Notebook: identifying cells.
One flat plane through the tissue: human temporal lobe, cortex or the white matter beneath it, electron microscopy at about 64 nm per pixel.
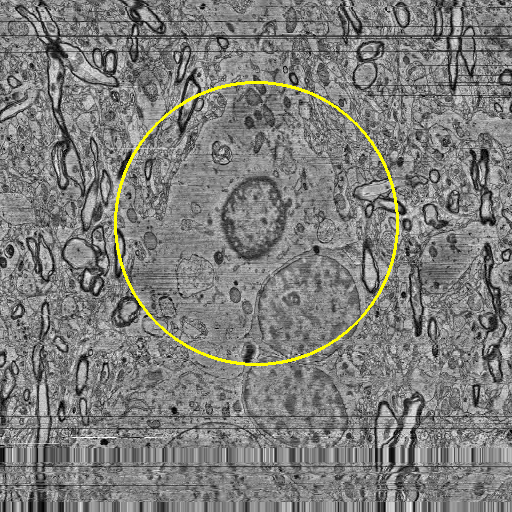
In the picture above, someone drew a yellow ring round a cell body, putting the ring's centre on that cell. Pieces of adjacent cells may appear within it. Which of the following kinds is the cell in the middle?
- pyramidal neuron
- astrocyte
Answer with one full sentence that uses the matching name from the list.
In this picture, the yellow ring is centred on the body of an astrocyte.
